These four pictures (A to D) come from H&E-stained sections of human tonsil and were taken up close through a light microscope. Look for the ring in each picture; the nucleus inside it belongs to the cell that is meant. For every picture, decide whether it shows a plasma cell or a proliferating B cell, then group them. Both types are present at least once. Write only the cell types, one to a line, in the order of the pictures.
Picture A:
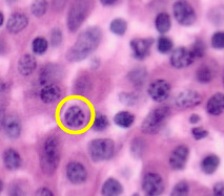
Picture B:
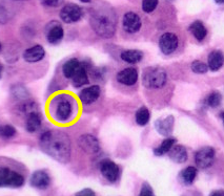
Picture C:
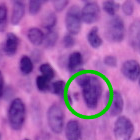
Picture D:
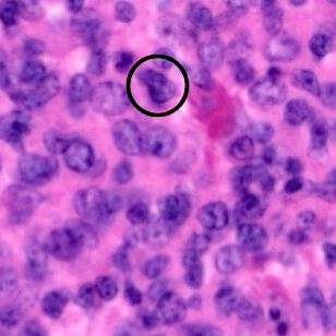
plasma cell
plasma cell
proliferating B cell
proliferating B cell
